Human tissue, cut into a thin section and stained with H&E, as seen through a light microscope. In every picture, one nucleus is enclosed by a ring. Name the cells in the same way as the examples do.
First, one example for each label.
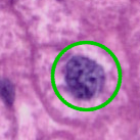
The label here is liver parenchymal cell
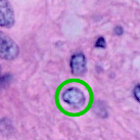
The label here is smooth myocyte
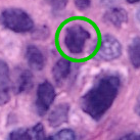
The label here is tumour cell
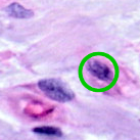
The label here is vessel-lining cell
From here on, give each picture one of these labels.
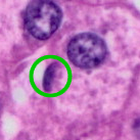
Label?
vessel-lining cell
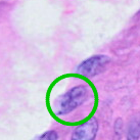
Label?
vessel-lining cell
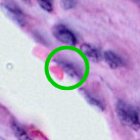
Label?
vessel-lining cell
